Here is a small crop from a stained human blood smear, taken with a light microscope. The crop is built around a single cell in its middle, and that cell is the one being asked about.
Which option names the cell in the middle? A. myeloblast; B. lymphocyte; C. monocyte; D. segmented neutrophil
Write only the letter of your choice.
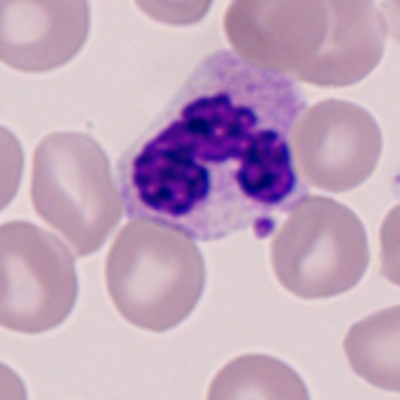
D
